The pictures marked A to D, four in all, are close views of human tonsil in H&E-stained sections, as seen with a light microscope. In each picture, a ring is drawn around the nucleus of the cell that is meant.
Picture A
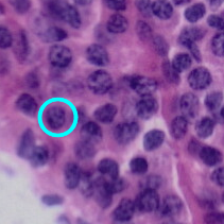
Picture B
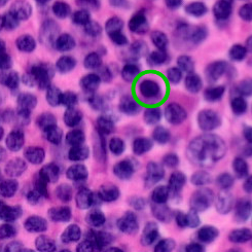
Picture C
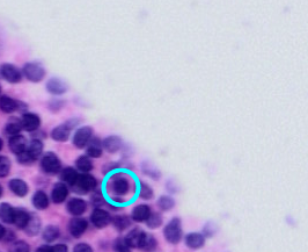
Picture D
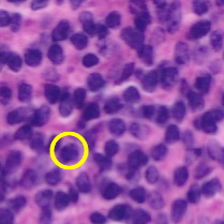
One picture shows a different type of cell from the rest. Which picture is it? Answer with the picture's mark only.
A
